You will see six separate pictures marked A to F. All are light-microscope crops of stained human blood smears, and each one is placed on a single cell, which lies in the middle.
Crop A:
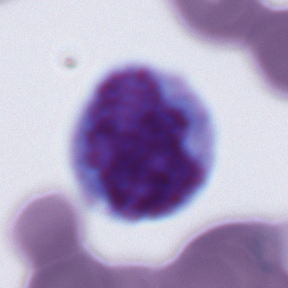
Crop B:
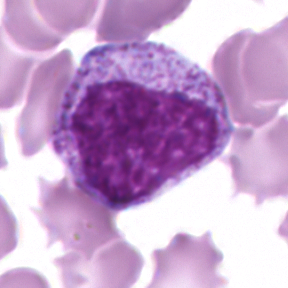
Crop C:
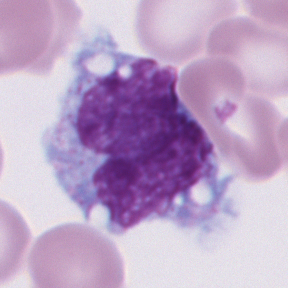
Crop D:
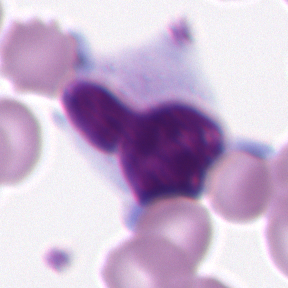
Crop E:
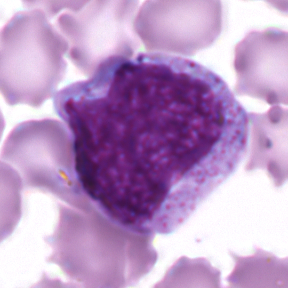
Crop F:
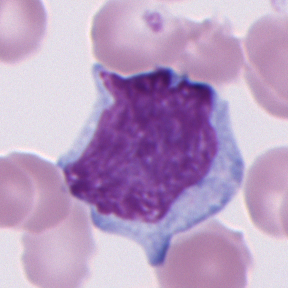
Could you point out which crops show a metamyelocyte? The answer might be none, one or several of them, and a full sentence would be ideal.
Not represented in any of the crops is a metamyelocyte.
